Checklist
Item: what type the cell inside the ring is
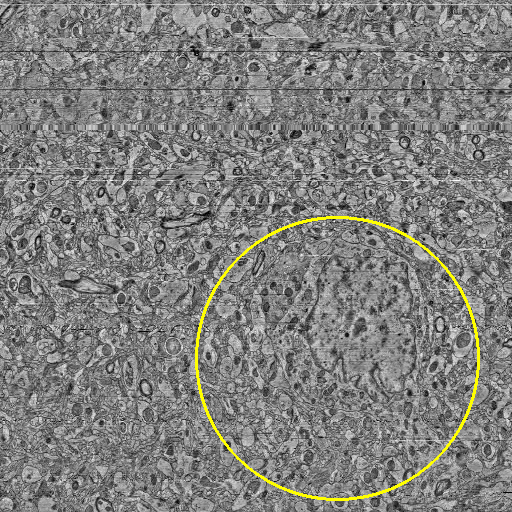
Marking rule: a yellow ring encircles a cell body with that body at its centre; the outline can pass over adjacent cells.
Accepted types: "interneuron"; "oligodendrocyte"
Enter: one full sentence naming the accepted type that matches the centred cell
The entry is that an interneuron lies at the centre of the yellow ring.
